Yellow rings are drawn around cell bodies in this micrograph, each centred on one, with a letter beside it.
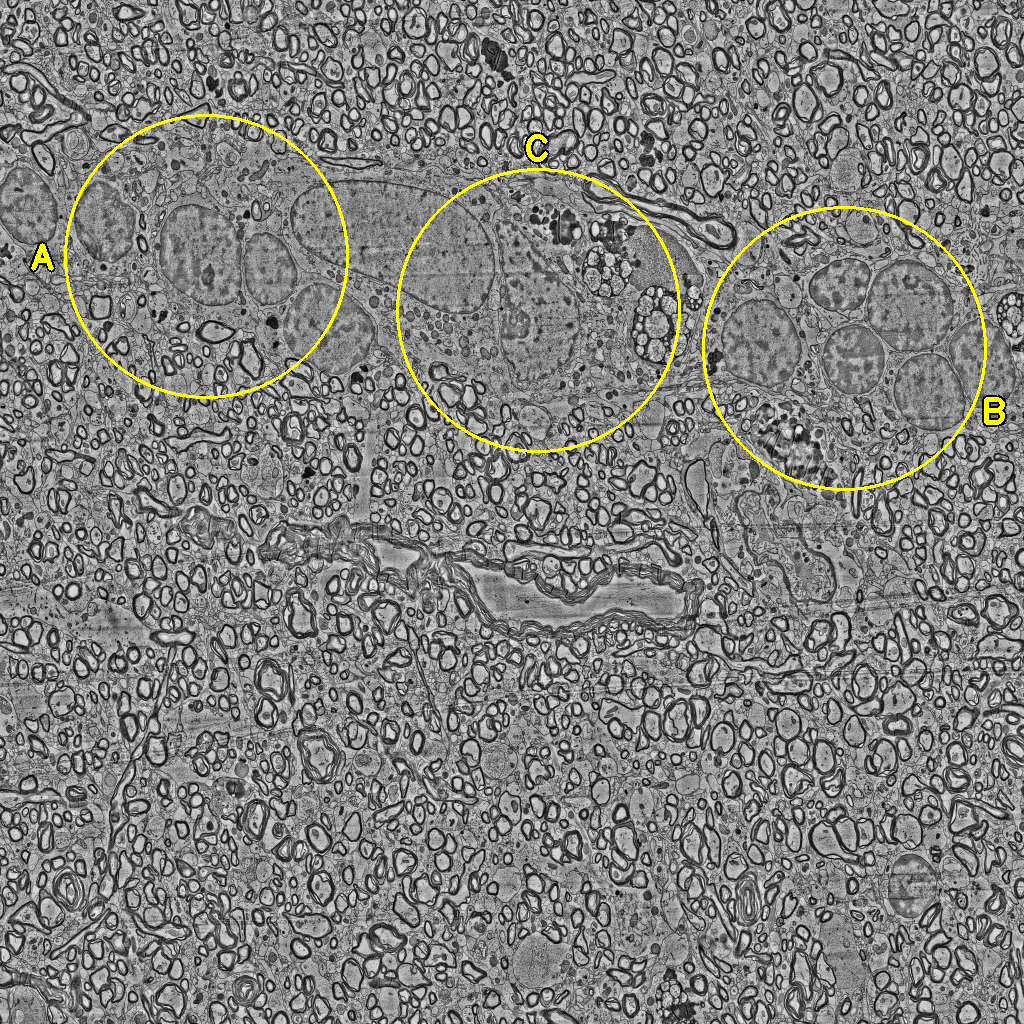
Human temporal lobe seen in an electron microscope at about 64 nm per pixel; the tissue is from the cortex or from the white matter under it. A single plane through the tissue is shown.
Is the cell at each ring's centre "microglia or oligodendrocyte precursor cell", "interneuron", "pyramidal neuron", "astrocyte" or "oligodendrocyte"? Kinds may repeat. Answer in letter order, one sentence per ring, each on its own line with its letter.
In ring A, the cell at the centre is an oligodendrocyte.
In ring B, the cell at the centre is an oligodendrocyte.
In ring C, the cell at the centre is an astrocyte.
